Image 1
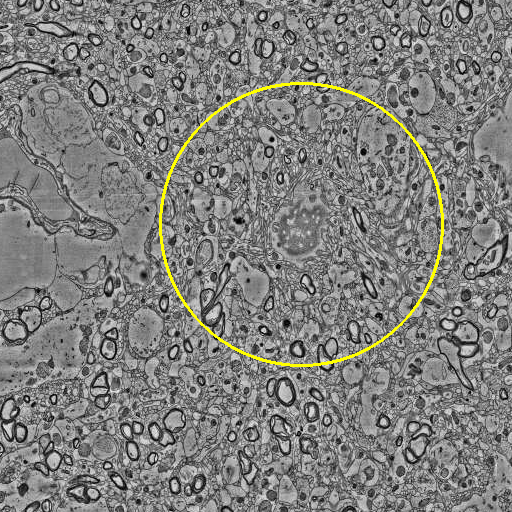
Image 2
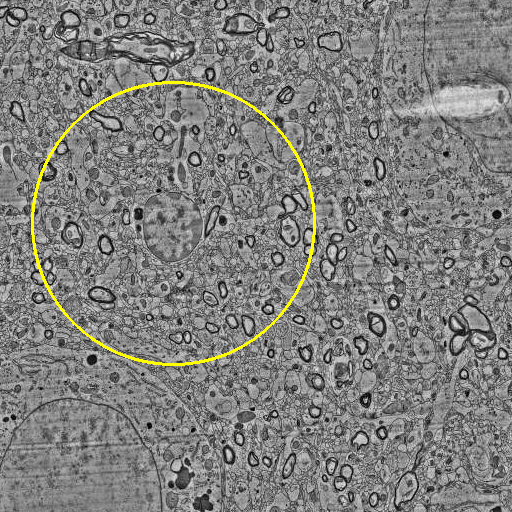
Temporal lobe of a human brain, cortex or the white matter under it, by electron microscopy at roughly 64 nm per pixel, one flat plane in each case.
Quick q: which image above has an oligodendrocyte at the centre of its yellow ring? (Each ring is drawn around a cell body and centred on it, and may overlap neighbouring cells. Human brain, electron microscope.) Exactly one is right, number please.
1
